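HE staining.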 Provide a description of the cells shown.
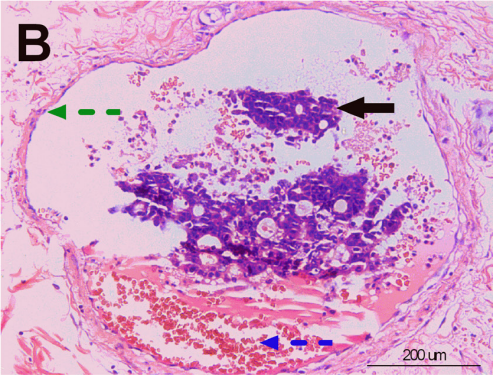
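A rounded vessel space with a thin pink wall holds a loose clump of crowded purple-staining tumor cells with dark nuclei, some arranged around small gland-like holes. Below the clump the lumen is filled with many small red anucleate red blood cells. The wall is thin, with flattened and spindle-shaped nuclei, and pale pink fibrous stroma lies outside it. This is a cluster of tumor cells lodged inside an endothelium-lined vessel, an intravascular embolus.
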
